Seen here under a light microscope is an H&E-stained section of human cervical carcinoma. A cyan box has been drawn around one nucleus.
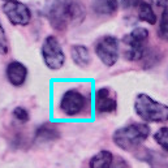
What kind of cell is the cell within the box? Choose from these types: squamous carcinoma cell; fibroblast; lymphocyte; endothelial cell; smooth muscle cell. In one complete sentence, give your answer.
The identity of the cell within the box: it is a lymphocyte.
